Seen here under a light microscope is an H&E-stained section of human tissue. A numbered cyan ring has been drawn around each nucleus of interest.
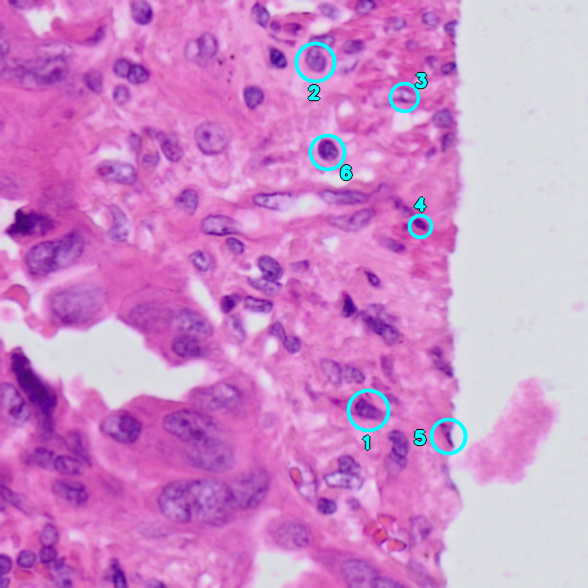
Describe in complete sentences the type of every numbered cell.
Cell 1 is a plasma cell, cell 2 is a mast cell, cell 3 is a smooth muscle cell or pericyte, cell 4 is a smooth muscle cell or pericyte, cell 5 is an endothelial cell and cell 6 is a lymphocyte.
